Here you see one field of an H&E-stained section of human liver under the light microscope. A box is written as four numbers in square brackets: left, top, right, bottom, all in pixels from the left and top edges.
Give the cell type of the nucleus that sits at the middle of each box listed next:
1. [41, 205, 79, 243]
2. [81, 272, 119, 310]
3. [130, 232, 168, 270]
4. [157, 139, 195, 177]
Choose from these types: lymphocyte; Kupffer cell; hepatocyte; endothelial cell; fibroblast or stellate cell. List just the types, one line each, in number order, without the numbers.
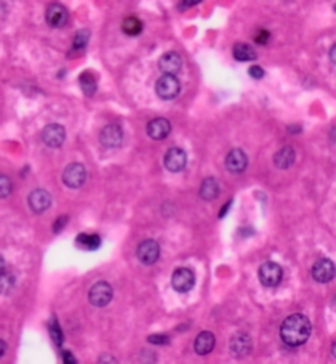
fibroblast or stellate cell
hepatocyte
hepatocyte
hepatocyte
